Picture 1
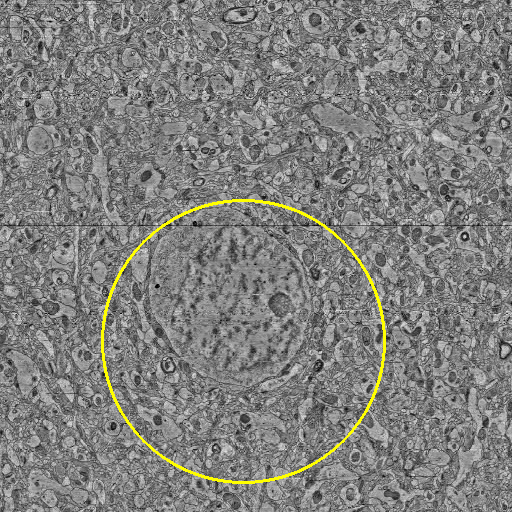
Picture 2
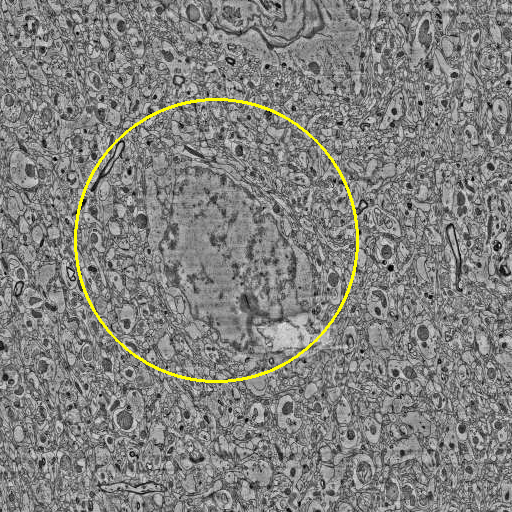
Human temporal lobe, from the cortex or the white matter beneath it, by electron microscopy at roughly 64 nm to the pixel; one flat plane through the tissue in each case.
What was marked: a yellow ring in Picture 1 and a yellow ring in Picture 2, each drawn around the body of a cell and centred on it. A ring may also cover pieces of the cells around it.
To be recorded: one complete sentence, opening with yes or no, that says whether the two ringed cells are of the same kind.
Yes, the two ringed cells are of the same kind.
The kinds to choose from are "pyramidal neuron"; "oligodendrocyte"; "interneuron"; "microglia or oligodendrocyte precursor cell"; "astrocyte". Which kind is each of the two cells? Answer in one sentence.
Each of the two cells is an interneuron.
